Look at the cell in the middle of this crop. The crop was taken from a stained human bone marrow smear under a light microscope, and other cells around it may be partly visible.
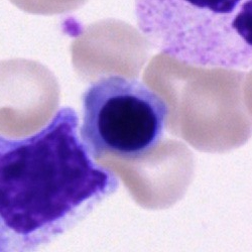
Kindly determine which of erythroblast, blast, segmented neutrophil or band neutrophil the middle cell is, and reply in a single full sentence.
The cell at the heart of this crop is an erythroblast.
